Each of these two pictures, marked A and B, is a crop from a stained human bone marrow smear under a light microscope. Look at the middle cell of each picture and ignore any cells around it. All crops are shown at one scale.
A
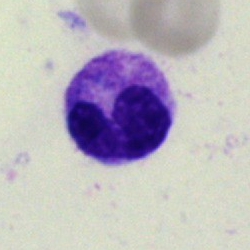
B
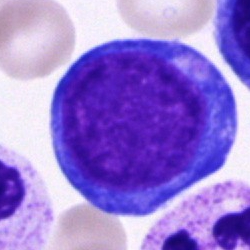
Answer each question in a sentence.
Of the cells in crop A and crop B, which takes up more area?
The cell in crop B is larger, with about 2.5 times the area of the one in crop A.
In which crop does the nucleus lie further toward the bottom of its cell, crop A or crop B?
In crop A the nucleus is shifted more toward the bottom.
